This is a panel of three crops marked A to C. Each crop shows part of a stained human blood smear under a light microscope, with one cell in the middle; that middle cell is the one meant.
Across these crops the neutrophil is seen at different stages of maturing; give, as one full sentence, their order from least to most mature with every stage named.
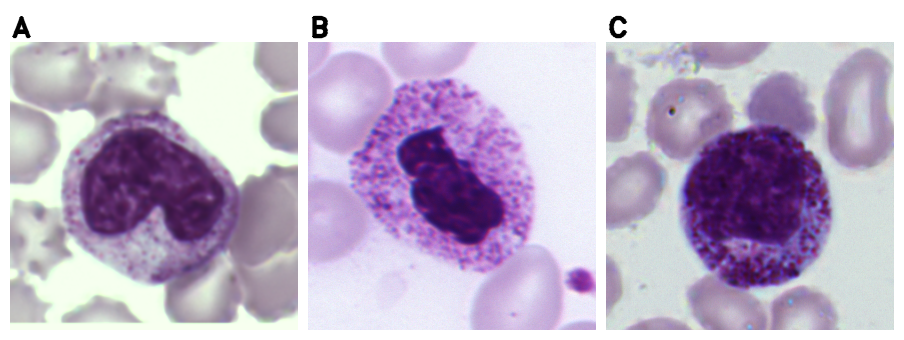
Maturation proceeds in the order crop C (a myelocyte), crop A (a metamyelocyte) and crop B (a segmented neutrophil).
